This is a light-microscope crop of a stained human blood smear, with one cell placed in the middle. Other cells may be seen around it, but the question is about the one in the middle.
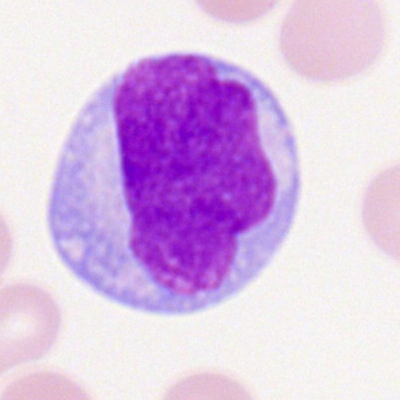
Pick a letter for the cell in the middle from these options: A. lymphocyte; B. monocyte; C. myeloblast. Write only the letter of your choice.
B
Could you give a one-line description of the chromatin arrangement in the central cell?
Its chromatin is finely dispersed rather than coarsely clumped.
